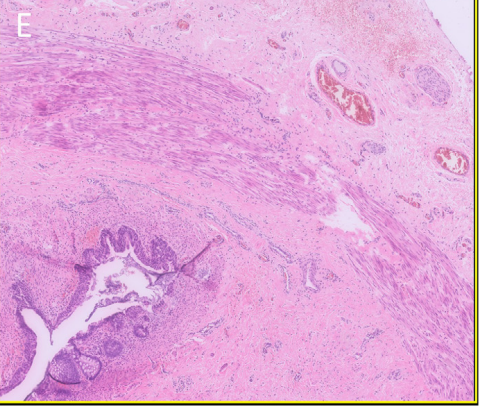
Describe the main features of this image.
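A broad band of pink, elongated, spindle-shaped fibers sweeps diagonally across the upper part of the field, with looser pale connective tissue and blood vessels filled with red blood cells near the upper right edge. In the lower left corner lies mucosa with purple-staining glandular epithelium lining a lumen.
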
